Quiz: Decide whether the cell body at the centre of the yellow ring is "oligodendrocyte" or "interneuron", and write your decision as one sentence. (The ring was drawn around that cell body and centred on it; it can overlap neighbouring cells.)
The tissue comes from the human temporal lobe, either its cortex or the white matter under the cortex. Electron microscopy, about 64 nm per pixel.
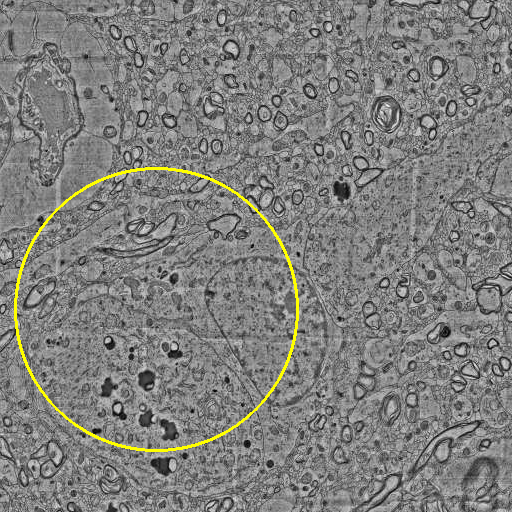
The cell the ring is centred on is an oligodendrocyte.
